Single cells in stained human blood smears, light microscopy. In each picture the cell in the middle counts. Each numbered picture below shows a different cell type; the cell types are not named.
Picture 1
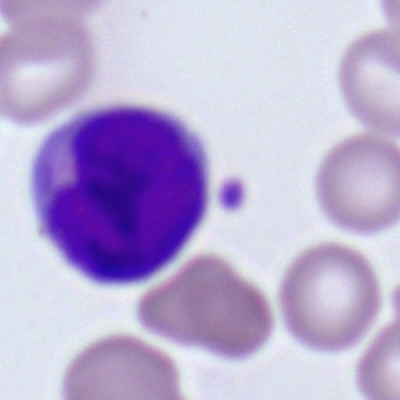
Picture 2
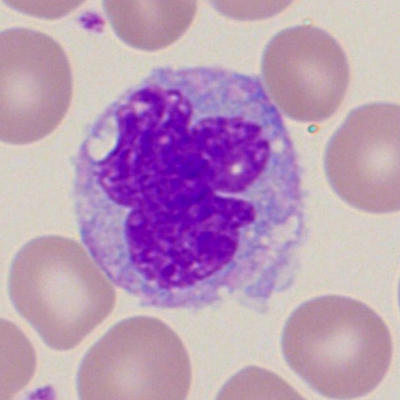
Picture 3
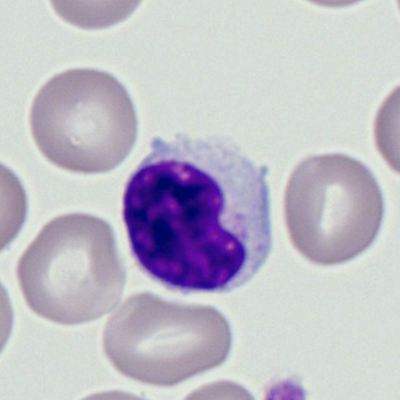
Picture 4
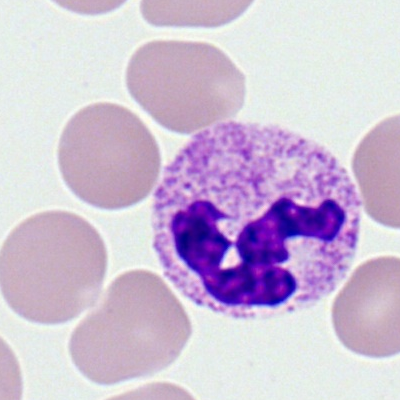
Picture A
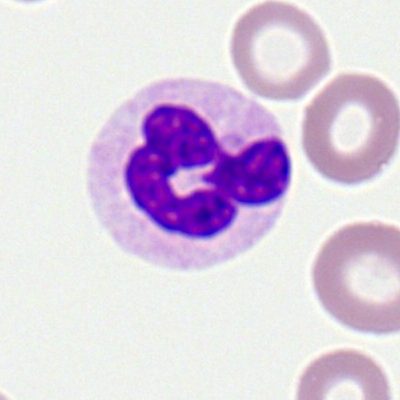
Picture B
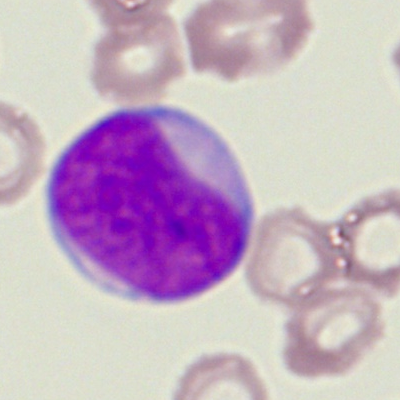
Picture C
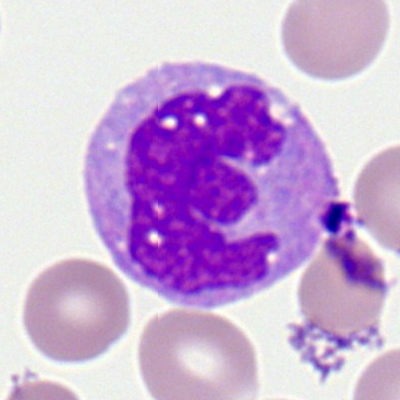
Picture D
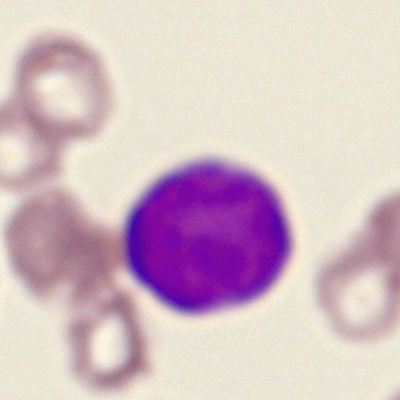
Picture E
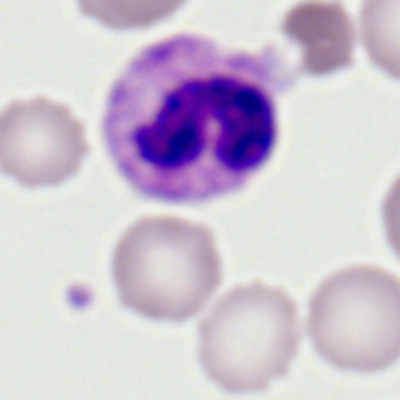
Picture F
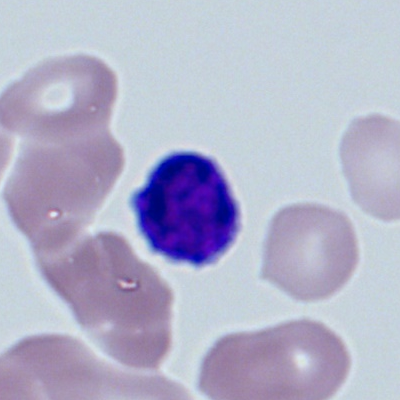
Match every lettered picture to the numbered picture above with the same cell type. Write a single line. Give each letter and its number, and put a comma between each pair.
A 4, B 1, C 2, D 1, E 4, F 3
